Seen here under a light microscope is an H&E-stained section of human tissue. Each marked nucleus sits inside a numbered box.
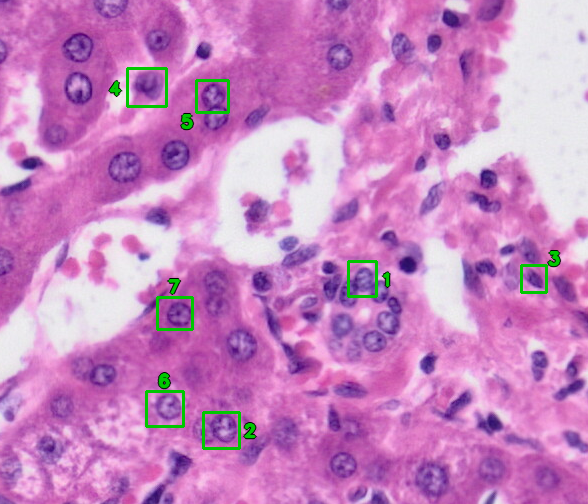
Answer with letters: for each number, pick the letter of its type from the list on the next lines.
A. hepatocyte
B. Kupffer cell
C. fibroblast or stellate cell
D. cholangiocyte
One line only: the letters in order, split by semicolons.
D; A; C; B; A; A; A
